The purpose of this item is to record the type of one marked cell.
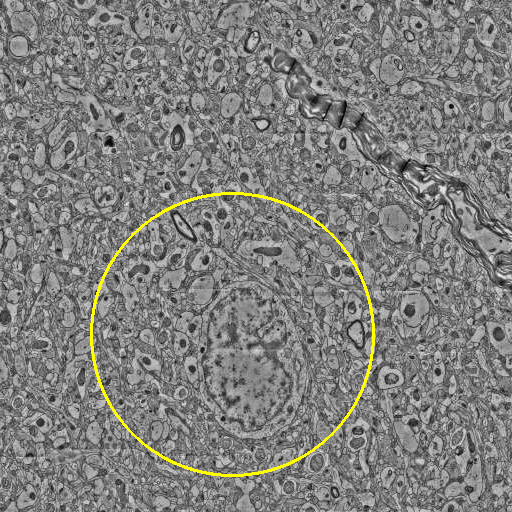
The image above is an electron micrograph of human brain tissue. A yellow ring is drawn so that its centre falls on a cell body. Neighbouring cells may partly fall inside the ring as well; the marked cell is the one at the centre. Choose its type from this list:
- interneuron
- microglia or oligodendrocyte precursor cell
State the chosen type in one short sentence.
What the ring marks here is an interneuron.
